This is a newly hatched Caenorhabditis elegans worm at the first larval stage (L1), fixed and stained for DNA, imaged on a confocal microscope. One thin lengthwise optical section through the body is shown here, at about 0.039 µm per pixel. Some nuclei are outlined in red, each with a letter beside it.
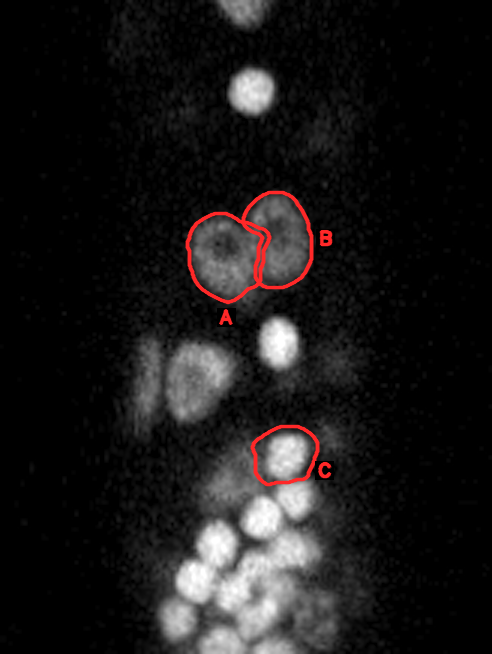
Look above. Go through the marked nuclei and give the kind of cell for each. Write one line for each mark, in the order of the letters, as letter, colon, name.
A: hypodermal cell (hyp)
B: hypodermal cell (hyp)
C: neuron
